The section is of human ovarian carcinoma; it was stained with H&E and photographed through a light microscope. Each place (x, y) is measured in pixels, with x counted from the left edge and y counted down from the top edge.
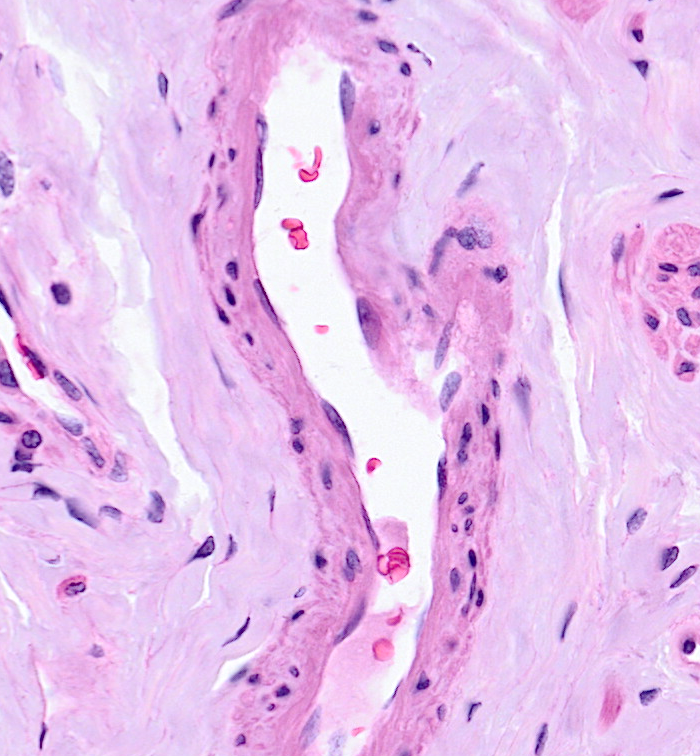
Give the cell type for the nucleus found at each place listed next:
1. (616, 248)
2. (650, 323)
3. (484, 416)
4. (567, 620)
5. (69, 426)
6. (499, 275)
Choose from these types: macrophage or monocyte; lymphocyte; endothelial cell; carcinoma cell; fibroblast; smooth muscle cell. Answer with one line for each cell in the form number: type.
1: smooth muscle cell
2: smooth muscle cell
3: smooth muscle cell
4: fibroblast
5: endothelial cell
6: smooth muscle cell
